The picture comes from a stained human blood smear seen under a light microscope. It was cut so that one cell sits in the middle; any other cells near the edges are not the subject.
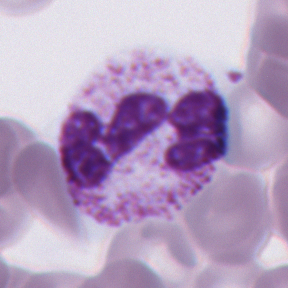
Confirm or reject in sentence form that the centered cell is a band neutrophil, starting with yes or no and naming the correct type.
No, that guess of a band neutrophil misses; the central cell is a segmented neutrophil.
